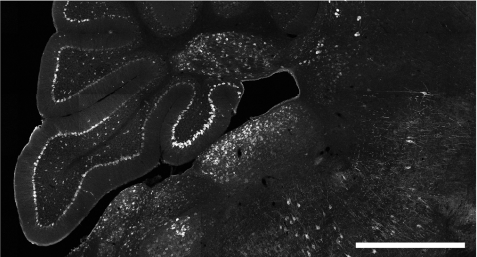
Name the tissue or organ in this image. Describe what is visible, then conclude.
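Cerebellum. Folded lobules with a layered cortex fill the left part of the image.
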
